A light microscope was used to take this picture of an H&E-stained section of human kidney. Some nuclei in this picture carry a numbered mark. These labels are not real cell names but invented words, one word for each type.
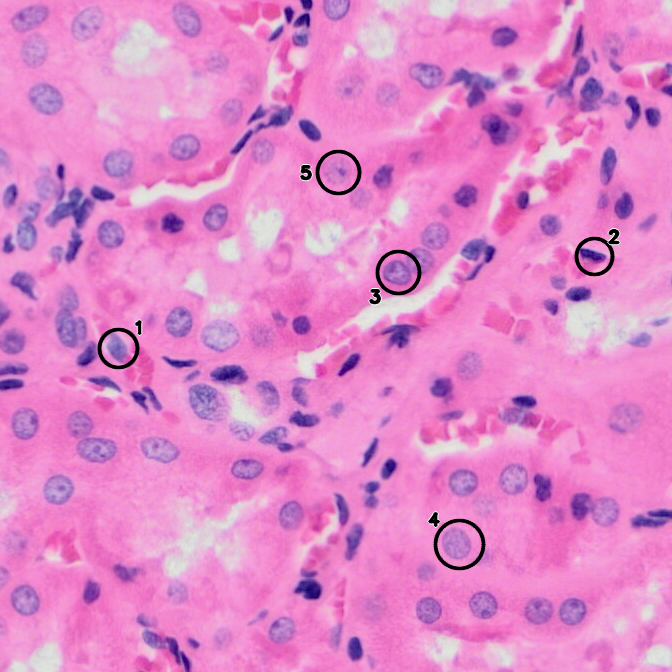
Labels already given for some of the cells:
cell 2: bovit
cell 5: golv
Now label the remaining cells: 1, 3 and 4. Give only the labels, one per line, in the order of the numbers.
bovit
golv
golv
